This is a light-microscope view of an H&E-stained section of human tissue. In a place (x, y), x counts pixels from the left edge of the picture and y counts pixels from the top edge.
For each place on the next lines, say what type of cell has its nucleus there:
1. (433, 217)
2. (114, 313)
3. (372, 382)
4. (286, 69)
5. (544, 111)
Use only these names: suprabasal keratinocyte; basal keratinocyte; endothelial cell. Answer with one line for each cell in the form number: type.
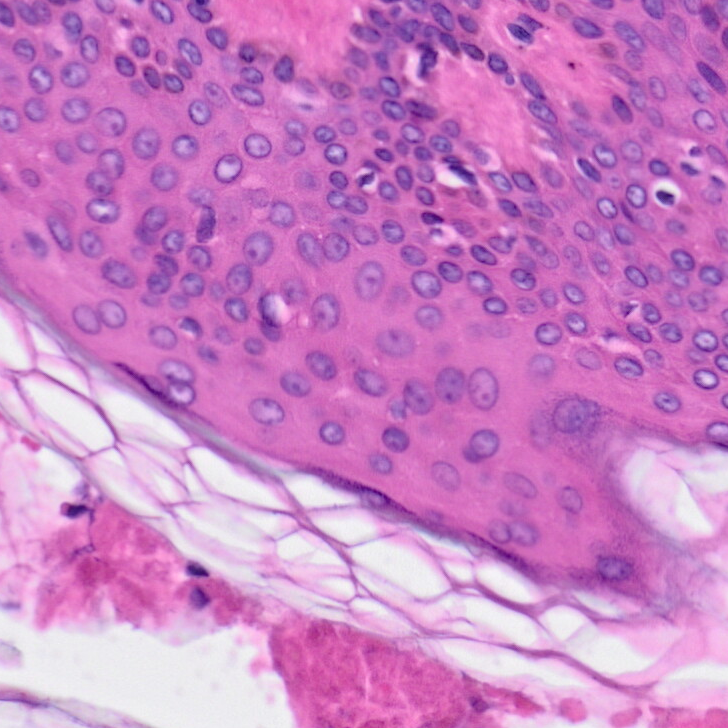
1: basal keratinocyte
2: suprabasal keratinocyte
3: suprabasal keratinocyte
4: basal keratinocyte
5: basal keratinocyte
